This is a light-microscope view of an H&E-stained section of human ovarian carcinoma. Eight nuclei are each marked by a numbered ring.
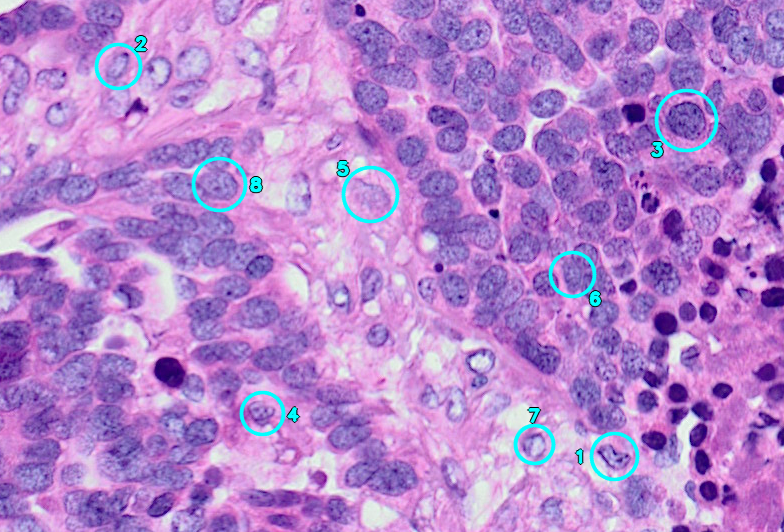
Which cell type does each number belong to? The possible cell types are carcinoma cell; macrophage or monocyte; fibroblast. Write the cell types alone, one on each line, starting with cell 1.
macrophage or monocyte
fibroblast
carcinoma cell
macrophage or monocyte
fibroblast
carcinoma cell
fibroblast
carcinoma cell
